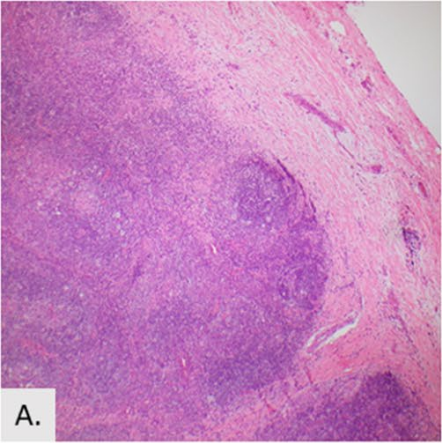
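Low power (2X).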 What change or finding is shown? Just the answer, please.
Sclerosis.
